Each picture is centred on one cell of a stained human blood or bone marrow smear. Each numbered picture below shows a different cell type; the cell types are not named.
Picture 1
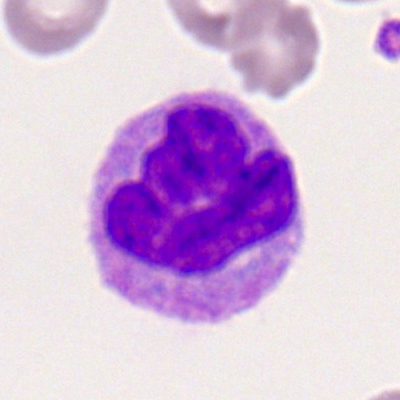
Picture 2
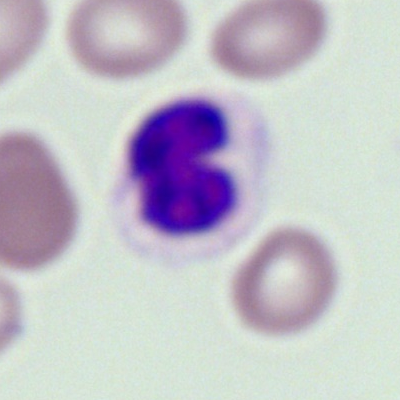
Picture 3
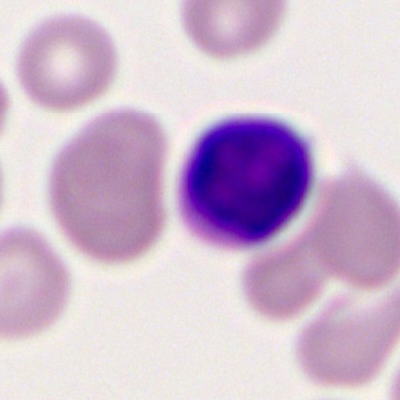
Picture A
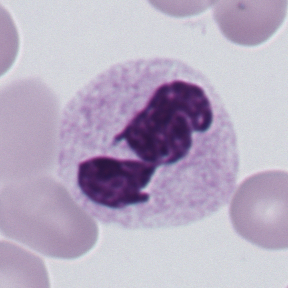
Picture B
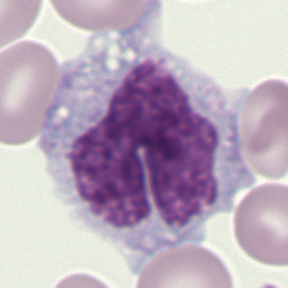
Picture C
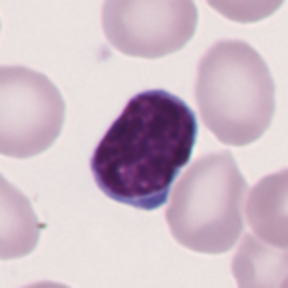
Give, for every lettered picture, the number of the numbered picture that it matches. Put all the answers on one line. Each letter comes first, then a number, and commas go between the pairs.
A 2, B 1, C 3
